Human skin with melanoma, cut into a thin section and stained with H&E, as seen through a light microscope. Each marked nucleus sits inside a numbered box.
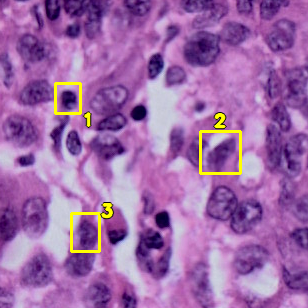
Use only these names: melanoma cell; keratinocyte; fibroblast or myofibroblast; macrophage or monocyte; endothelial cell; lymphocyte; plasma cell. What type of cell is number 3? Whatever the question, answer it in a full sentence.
Among the marked cells, number 3 is a melanoma cell.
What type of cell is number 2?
The numeral 2 marks a melanoma cell in this section.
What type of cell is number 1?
Number 1 among the marked cells is a lymphocyte.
